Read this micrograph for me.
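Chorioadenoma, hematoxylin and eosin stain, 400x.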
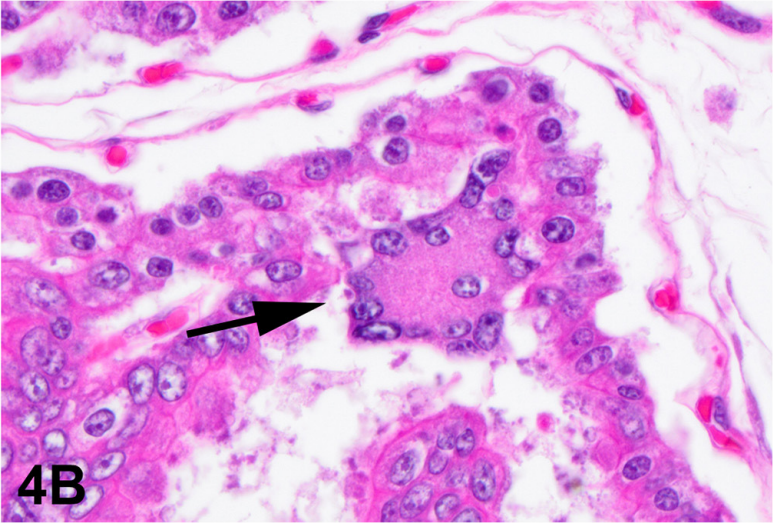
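Cords of cells with pink cytoplasm and oval nuclei line spaces next to loose fibrous tissue with scattered red cells, and at one spot a broad mass of granular pink cytoplasm without internal cell borders holds several nuclei. This multinucleated mass is a trophoblastic syncytium among the neoplastic trophoblasts.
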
